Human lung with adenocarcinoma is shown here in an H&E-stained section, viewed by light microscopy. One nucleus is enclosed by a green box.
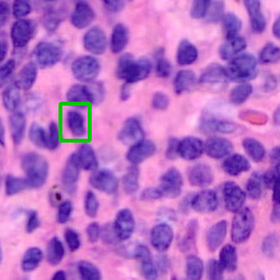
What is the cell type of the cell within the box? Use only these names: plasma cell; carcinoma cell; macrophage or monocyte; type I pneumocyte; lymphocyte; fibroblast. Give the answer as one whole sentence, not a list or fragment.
Histopathologically, the cell within the box is a lymphocyte.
